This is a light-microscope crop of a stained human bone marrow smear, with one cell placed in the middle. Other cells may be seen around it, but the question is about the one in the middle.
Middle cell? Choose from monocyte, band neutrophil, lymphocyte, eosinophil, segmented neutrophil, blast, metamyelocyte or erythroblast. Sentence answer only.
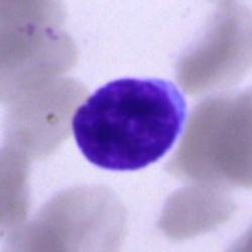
The cell in the middle of the field of view is a lymphocyte.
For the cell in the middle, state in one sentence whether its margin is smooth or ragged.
You can see a smooth boundary, with no projections sticking out.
